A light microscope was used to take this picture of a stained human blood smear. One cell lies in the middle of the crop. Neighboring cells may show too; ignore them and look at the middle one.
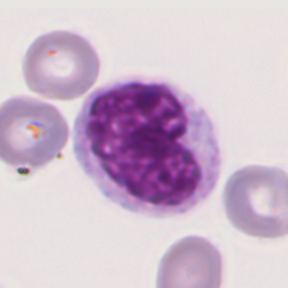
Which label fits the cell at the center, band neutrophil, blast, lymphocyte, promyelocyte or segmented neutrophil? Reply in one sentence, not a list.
Classification of the middle cell gives a band neutrophil.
